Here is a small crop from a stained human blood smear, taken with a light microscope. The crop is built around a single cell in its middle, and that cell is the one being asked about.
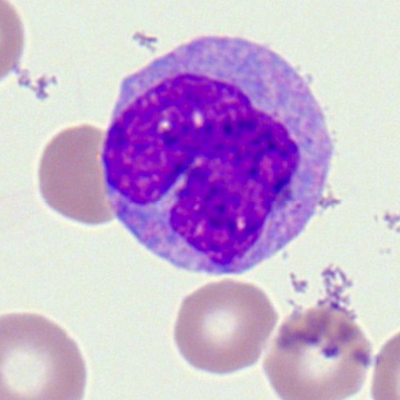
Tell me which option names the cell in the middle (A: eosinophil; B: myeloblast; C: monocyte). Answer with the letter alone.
C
